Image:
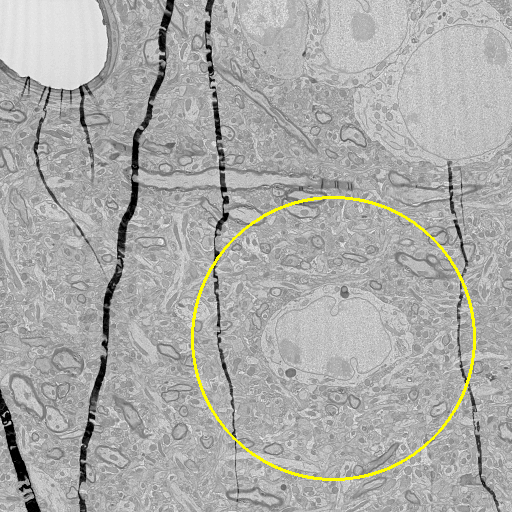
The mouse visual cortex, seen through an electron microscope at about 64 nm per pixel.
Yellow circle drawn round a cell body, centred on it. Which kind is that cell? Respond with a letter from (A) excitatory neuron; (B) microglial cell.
A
